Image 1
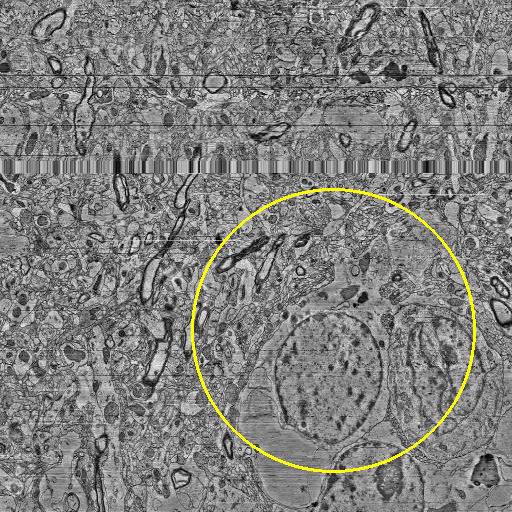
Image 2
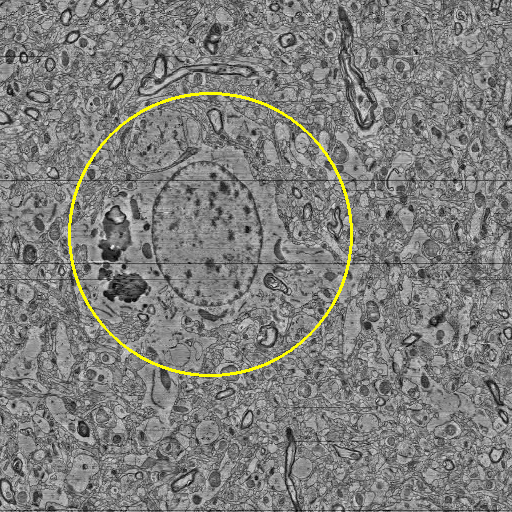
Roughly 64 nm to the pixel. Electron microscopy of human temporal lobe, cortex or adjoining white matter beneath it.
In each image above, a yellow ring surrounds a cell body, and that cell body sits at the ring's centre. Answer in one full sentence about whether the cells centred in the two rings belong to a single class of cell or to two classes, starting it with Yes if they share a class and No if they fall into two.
Yes, the cells centred in the two yellow rings belong to a single class of cell.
